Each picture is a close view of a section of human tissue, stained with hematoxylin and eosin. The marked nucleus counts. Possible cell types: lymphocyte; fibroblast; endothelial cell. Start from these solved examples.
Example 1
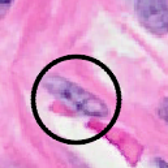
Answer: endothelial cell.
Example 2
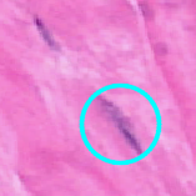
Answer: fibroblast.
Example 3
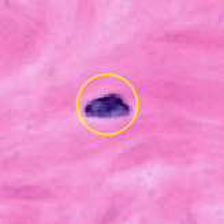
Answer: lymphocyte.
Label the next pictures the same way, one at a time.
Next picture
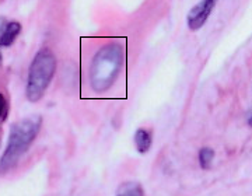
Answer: endothelial cell.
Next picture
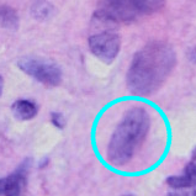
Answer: fibroblast.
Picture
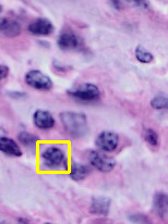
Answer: lymphocyte.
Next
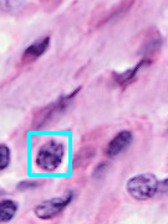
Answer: lymphocyte.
